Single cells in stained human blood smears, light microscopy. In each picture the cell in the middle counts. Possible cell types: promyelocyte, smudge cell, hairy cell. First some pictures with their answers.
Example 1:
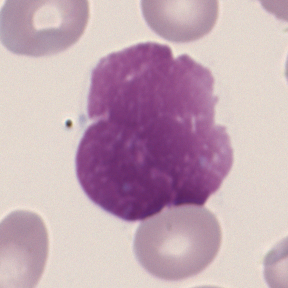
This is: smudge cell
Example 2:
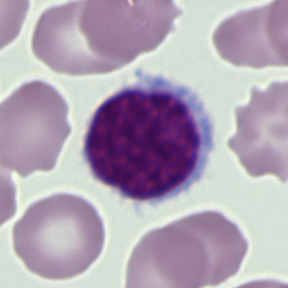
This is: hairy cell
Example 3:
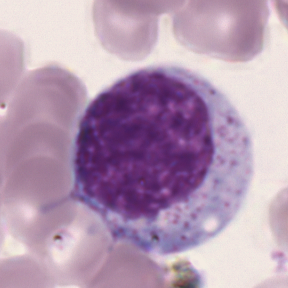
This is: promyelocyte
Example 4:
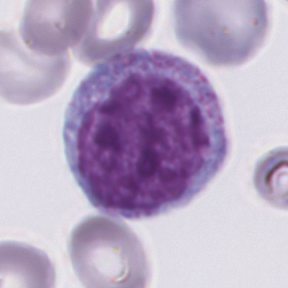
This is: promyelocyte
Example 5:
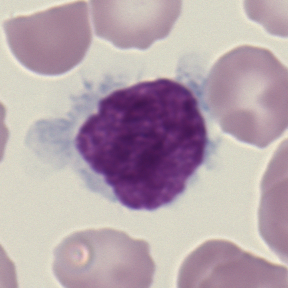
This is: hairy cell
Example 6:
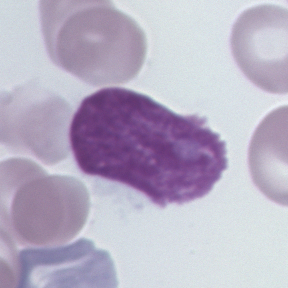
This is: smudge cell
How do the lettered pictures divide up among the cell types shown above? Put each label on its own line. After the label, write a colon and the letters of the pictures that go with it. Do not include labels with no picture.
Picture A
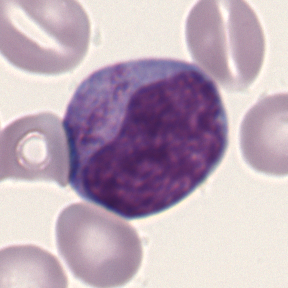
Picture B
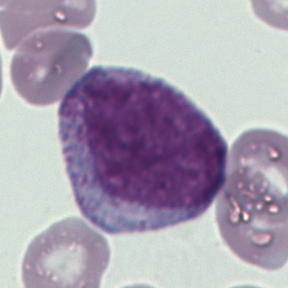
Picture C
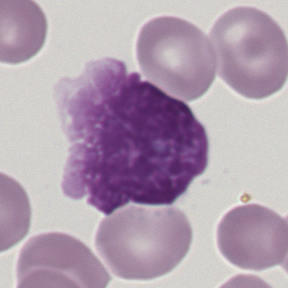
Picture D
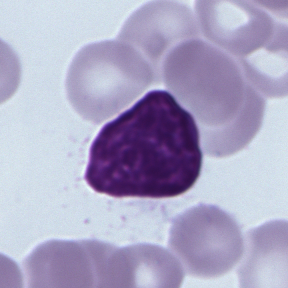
promyelocyte: A, B
smudge cell: C, D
